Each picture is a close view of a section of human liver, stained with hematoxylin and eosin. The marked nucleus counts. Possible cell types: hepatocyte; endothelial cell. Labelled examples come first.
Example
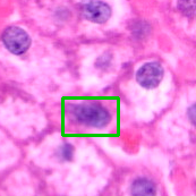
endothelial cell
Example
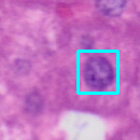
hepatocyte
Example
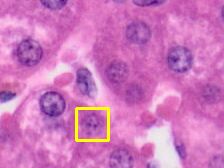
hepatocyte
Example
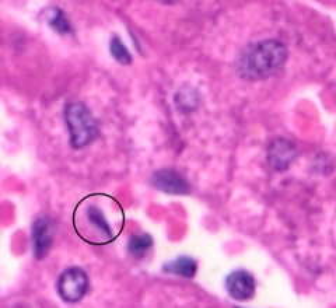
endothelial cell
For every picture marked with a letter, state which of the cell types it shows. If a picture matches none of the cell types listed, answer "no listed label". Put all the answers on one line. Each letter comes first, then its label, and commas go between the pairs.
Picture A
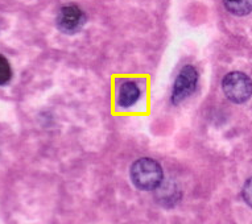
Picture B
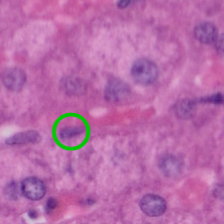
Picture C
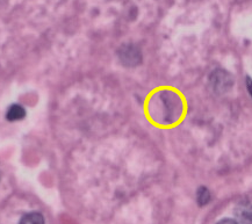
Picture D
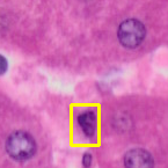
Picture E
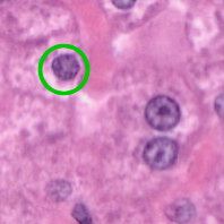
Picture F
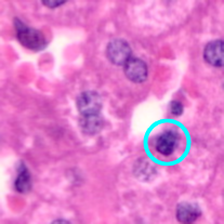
A no listed label, B no listed label, C endothelial cell, D no listed label, E hepatocyte, F no listed label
